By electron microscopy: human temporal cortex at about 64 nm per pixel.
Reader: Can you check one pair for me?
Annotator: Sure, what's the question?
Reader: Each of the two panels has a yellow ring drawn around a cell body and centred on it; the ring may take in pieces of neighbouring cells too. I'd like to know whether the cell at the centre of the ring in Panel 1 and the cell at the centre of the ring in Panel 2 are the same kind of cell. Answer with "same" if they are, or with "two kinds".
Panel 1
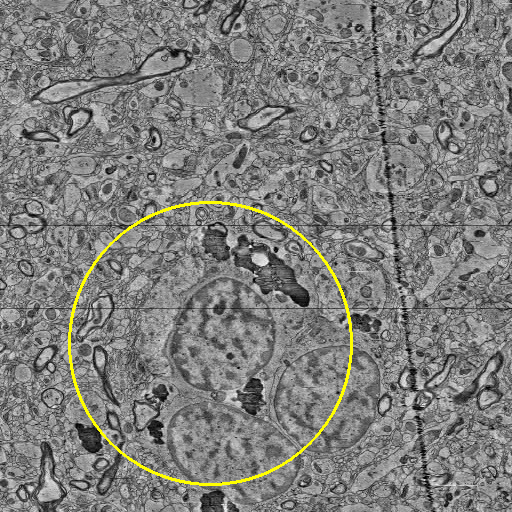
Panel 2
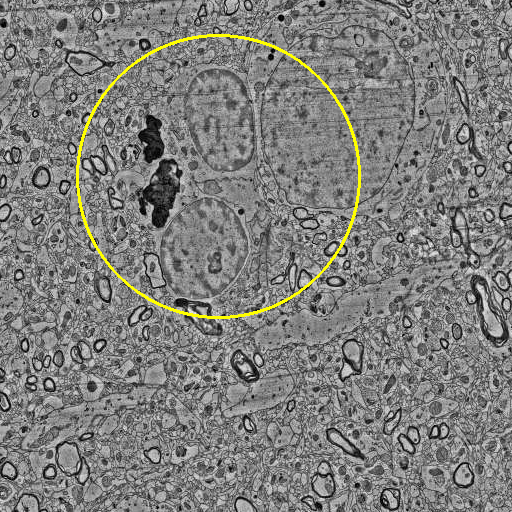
same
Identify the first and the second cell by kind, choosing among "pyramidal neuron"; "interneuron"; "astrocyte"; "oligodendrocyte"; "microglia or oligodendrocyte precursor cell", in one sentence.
The second cell is an oligodendrocyte, just as the first is.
